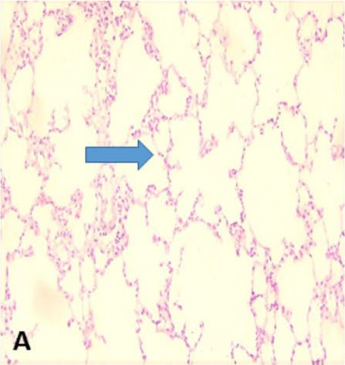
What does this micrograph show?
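Normal lung tissue with thin-walled alveoli forming an open lacy network. Air spaces are large and empty, separated by delicate pink septa. The septa carry scattered small purple nuclei and are one to a few cells thick.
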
